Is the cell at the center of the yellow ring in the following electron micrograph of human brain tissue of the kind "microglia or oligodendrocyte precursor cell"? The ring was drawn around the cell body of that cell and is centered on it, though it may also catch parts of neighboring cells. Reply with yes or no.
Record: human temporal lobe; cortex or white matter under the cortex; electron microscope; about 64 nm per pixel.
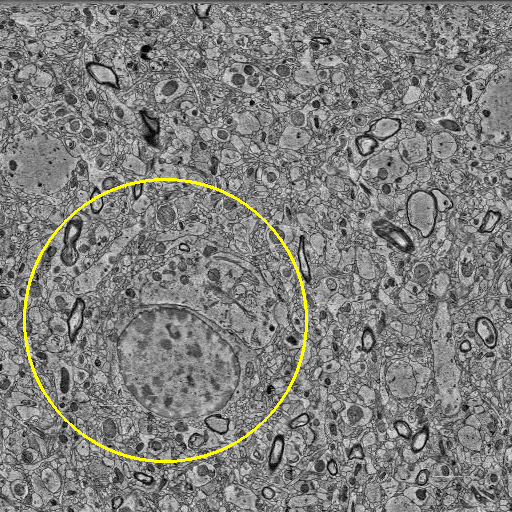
No, it is of another kind.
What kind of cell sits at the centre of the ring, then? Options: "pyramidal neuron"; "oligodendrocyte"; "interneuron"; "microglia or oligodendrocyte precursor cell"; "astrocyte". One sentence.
The cell shown in the ring is an oligodendrocyte.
